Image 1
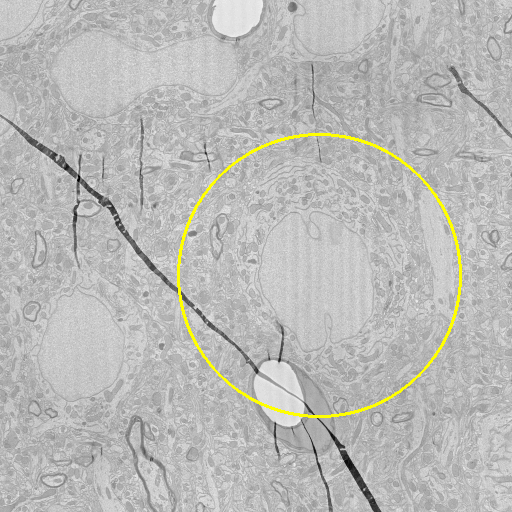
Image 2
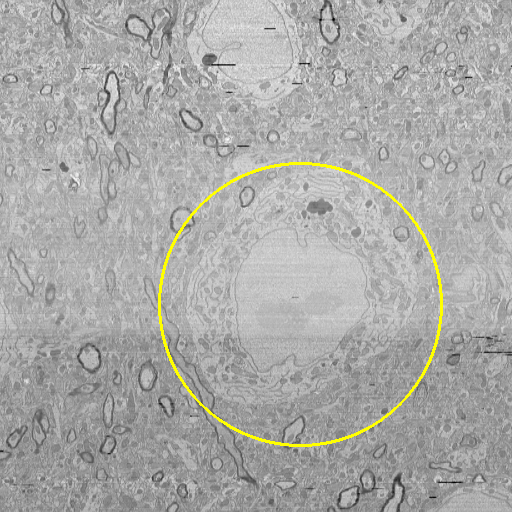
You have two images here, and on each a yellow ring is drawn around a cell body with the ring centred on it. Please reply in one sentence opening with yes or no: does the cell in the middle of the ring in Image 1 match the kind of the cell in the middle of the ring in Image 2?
Yes, the two images show cells of one kind at the centres of their rings.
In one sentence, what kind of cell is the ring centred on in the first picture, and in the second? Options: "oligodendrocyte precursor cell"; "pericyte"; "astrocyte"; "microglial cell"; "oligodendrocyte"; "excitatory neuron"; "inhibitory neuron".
Both rings mark an inhibitory neuron, one in each picture.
